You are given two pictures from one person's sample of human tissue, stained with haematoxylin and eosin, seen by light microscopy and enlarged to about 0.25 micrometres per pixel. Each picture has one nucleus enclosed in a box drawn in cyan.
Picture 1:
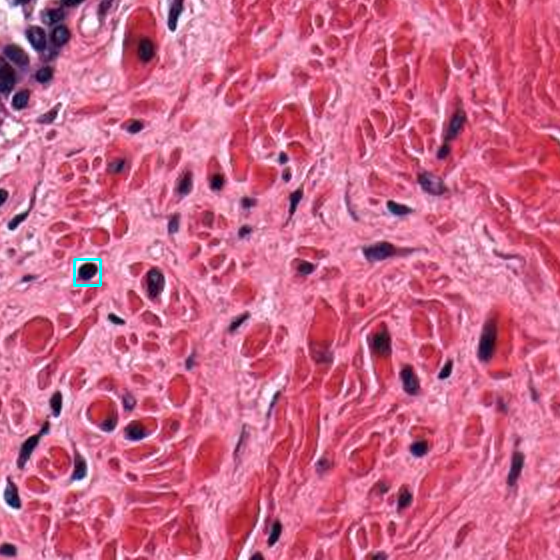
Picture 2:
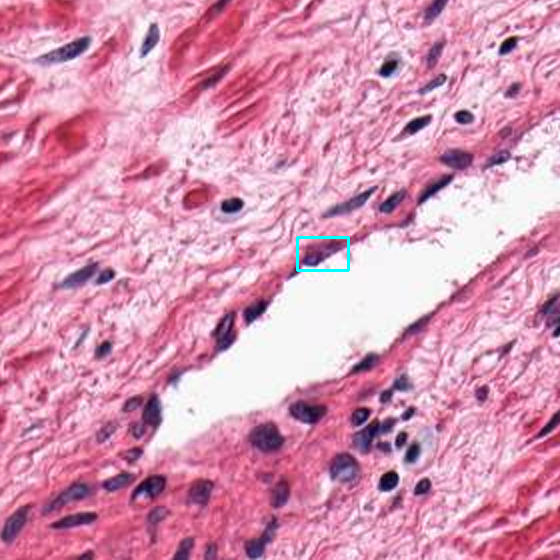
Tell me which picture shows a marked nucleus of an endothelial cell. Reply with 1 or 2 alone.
2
